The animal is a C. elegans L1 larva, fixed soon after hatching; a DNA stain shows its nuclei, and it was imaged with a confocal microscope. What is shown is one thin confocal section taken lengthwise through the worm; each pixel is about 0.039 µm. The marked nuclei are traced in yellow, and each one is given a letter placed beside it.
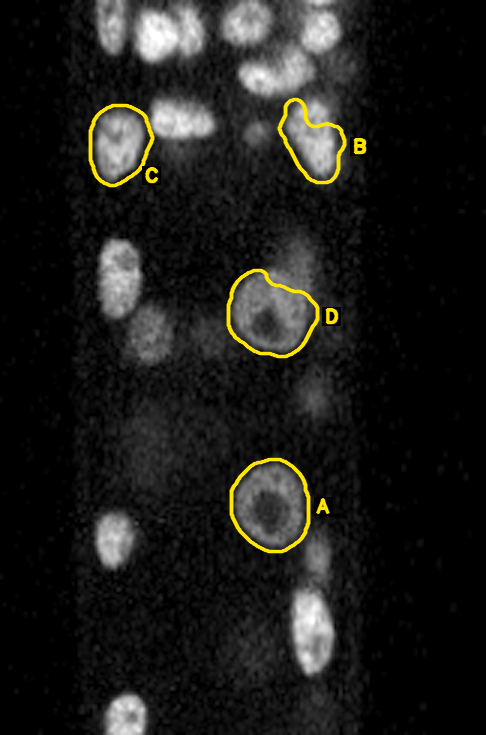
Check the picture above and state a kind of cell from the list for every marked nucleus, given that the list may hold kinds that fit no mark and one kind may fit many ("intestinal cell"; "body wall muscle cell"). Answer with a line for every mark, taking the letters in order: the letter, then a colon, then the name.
A: intestinal cell
B: body wall muscle cell
C: body wall muscle cell
D: intestinal cell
